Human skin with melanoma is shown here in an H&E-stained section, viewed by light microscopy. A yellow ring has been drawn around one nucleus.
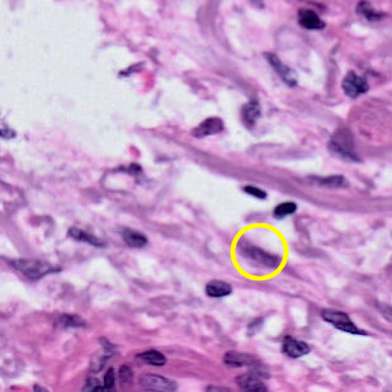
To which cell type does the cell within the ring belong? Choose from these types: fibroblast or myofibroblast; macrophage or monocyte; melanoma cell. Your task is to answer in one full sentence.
In the tissue at hand, the cell within the ring is a fibroblast or myofibroblast.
